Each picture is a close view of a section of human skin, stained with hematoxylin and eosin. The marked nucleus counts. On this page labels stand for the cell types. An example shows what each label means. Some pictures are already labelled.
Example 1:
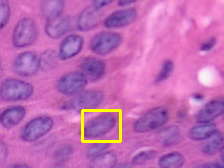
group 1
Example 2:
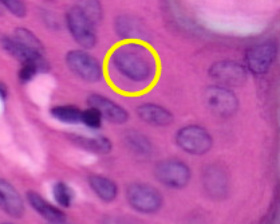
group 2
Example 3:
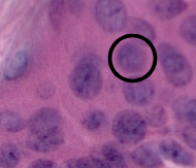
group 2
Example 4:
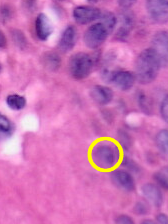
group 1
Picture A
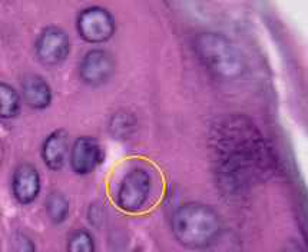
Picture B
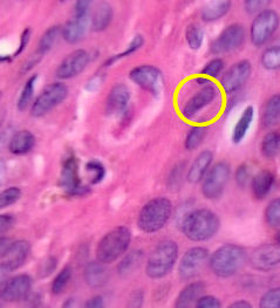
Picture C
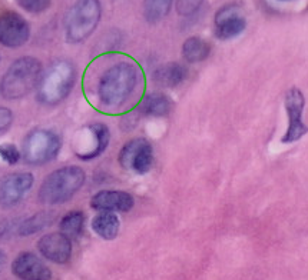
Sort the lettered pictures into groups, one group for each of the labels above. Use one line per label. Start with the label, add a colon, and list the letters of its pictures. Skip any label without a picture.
group 1: B
group 2: A, C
